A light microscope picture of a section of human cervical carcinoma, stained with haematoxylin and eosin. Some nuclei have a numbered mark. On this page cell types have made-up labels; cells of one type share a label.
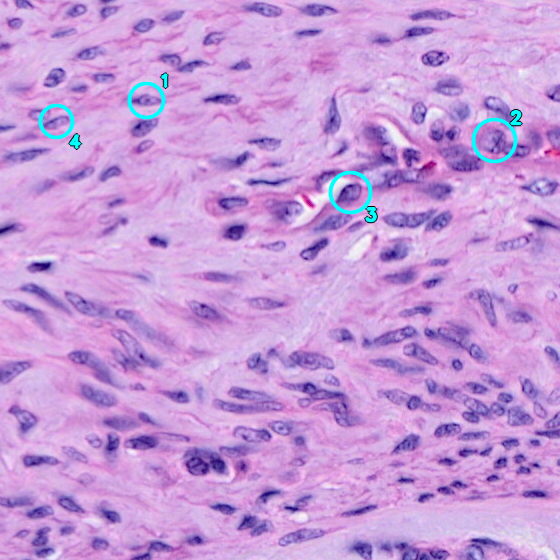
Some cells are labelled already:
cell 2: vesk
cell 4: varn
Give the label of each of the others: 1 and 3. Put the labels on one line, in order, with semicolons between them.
varn; vesk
